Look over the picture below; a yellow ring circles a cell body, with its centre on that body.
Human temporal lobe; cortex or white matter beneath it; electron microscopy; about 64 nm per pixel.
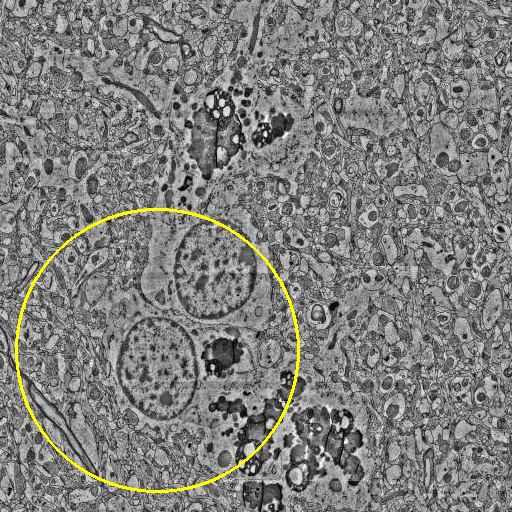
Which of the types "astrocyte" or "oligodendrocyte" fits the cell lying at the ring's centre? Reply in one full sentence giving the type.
The picture shows an astrocyte at the centre of the yellow ring.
